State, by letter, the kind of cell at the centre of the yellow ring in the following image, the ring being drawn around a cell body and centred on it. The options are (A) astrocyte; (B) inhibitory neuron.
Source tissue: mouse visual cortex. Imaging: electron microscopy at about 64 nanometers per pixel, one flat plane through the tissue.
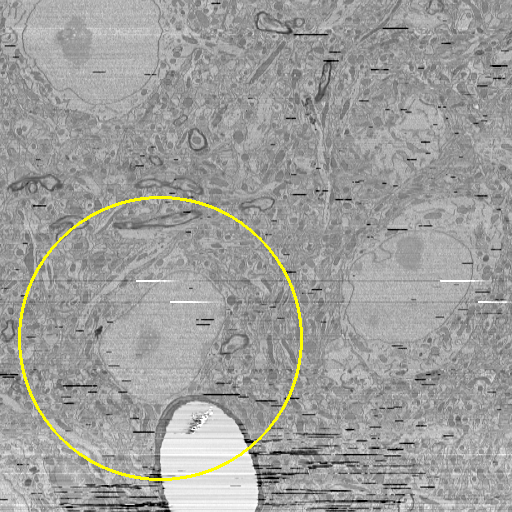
A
